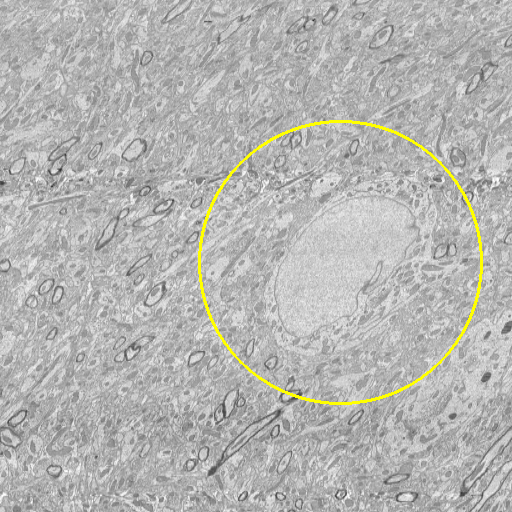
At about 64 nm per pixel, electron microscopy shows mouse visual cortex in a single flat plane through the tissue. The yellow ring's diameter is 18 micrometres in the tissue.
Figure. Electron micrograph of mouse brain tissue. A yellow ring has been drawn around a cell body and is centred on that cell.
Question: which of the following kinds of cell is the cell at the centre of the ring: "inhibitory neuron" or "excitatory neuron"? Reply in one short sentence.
The cell at the centre of the ring is an inhibitory neuron.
